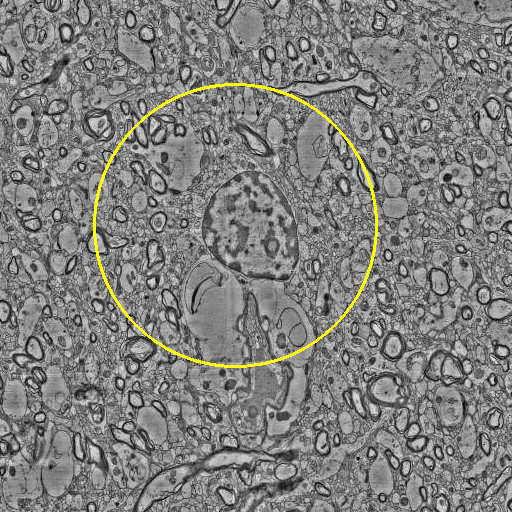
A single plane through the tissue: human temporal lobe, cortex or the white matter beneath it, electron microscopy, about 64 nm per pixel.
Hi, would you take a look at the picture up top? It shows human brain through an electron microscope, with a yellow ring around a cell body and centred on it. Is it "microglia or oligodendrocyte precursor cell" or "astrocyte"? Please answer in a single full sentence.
The best fit for the cell in the middle of the ring is a microglial cell or oligodendrocyte precursor cell, I reckon.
